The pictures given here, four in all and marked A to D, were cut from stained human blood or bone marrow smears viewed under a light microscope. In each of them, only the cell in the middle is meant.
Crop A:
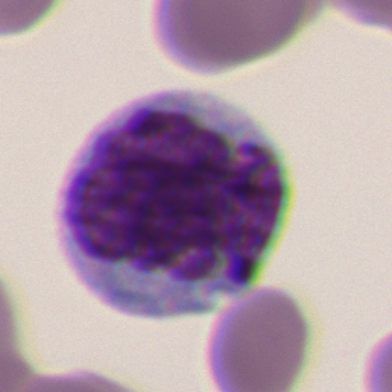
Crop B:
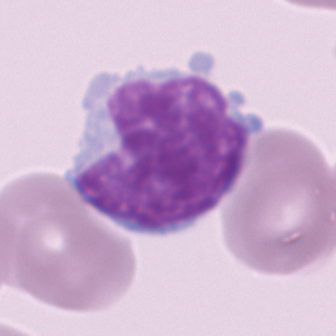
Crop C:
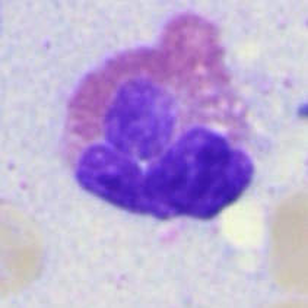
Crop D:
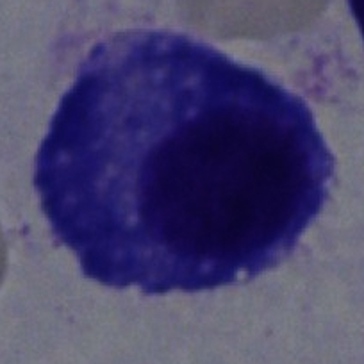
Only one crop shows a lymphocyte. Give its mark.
B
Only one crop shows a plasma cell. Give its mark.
D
